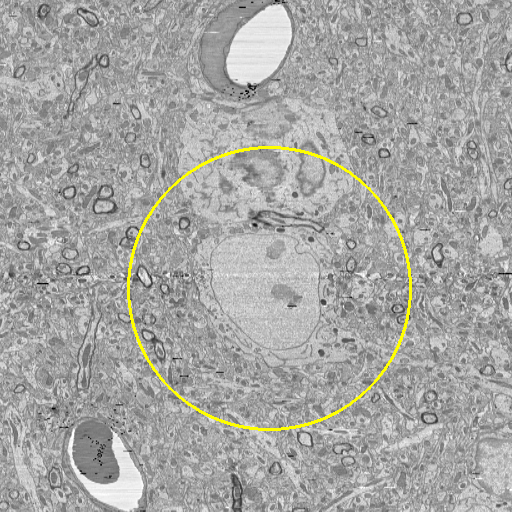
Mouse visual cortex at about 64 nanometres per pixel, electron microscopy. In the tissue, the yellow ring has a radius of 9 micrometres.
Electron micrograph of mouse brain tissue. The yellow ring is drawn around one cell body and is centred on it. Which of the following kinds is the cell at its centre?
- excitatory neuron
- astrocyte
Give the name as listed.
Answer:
excitatory neuron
